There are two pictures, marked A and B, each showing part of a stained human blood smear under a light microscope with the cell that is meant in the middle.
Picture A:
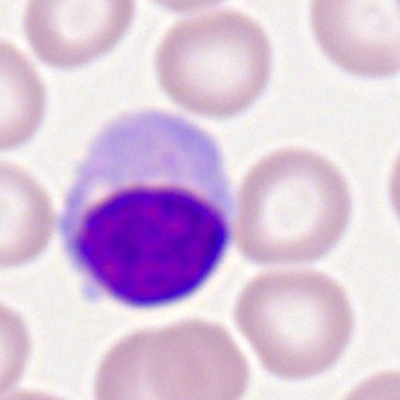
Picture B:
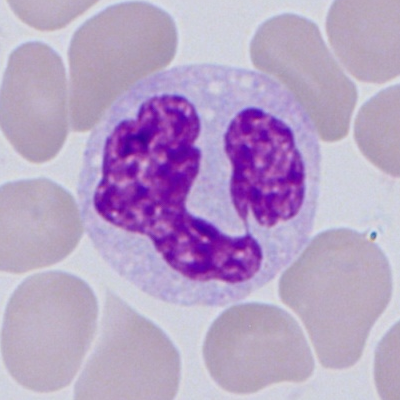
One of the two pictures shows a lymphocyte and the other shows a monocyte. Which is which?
A: lymphocyte
B: monocyte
